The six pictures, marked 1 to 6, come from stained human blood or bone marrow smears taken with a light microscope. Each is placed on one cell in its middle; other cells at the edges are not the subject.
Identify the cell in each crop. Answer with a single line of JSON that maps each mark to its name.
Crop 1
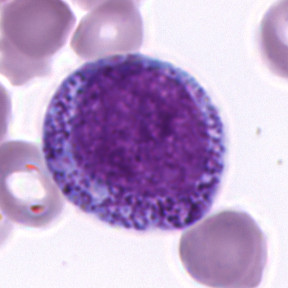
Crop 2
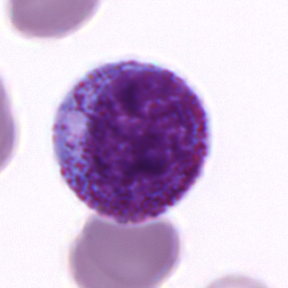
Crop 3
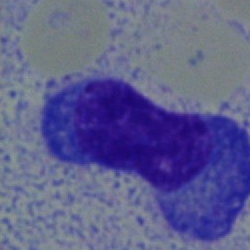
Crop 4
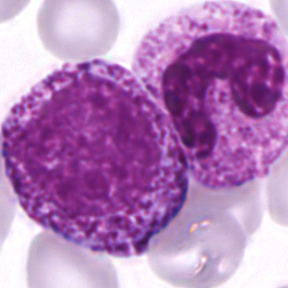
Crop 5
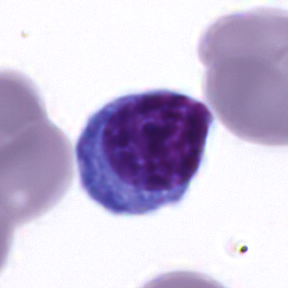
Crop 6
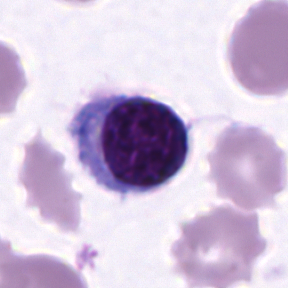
{"1": "promyelocyte", "2": "promyelocyte", "3": "plasma cell", "4": "promyelocyte", "5": "plasma cell", "6": "plasma cell"}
